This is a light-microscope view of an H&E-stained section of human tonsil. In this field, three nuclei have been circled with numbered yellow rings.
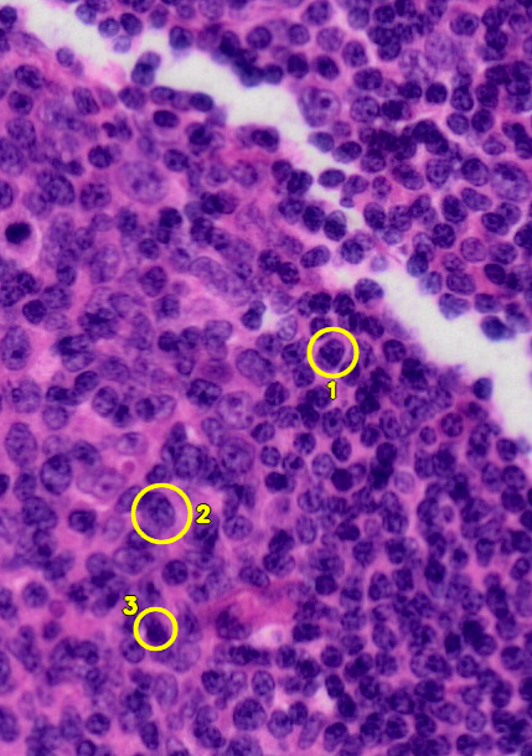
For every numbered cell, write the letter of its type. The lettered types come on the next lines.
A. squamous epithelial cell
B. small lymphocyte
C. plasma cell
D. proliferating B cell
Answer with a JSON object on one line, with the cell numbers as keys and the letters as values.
{"1": "B", "2": "D", "3": "D"}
